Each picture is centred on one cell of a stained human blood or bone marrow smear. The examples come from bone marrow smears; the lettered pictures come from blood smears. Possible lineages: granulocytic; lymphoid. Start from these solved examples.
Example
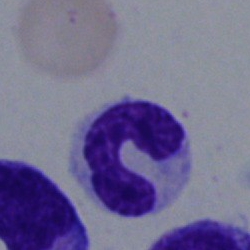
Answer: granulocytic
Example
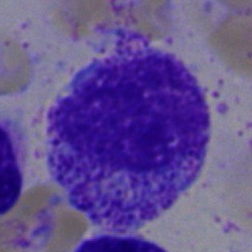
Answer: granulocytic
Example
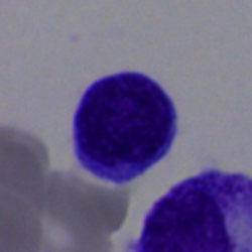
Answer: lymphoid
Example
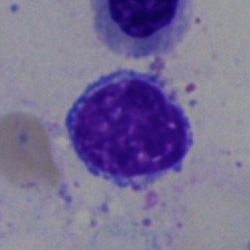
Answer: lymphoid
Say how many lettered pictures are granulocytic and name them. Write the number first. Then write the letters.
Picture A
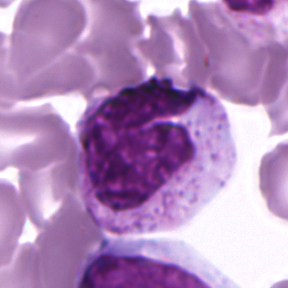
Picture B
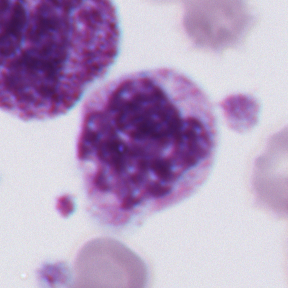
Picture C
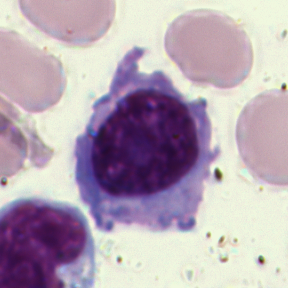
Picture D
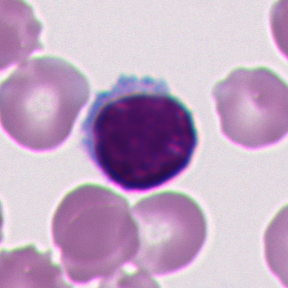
Count: 2 (A, B)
